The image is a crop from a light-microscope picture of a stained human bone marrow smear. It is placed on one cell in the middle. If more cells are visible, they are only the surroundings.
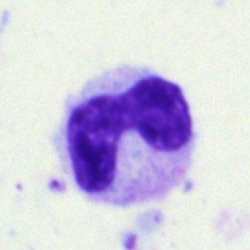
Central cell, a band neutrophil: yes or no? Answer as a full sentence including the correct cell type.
Yes, the cell centred in this crop is a band neutrophil.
